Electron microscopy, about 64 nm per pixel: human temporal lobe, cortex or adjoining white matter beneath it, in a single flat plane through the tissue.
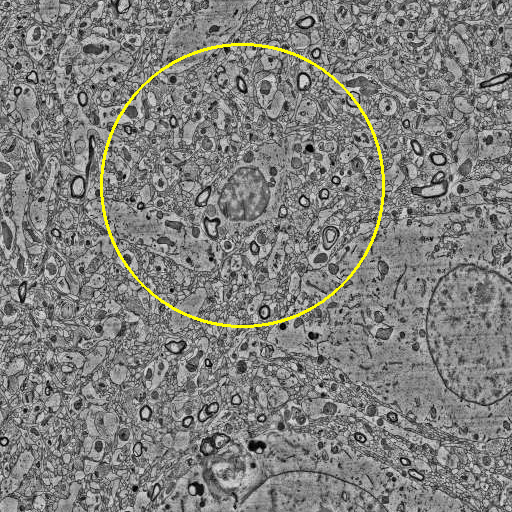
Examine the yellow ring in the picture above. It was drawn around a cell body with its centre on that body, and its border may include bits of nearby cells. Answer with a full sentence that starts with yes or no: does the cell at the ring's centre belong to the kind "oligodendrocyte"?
Yes, the cell at the heart of the ring shown in the image is of that kind.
